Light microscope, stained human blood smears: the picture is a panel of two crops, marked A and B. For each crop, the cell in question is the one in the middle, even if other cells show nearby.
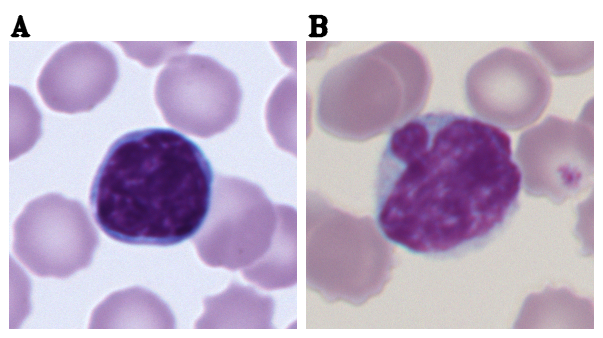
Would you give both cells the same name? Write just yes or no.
yes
